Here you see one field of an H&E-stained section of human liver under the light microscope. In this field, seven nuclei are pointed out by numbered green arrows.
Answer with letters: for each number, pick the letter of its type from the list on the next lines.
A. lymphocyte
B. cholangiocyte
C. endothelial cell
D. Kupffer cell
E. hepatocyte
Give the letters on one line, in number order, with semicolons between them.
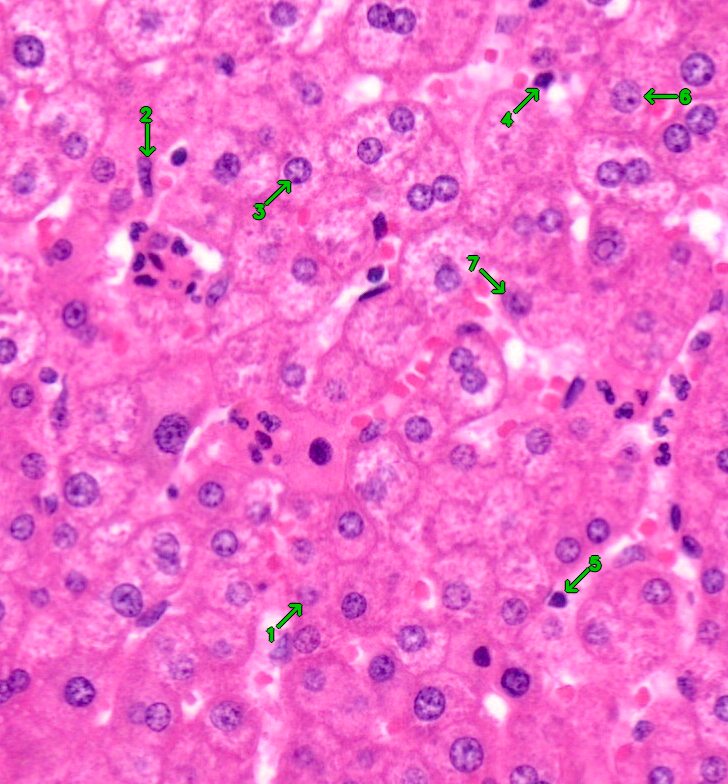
E; D; E; A; A; E; D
